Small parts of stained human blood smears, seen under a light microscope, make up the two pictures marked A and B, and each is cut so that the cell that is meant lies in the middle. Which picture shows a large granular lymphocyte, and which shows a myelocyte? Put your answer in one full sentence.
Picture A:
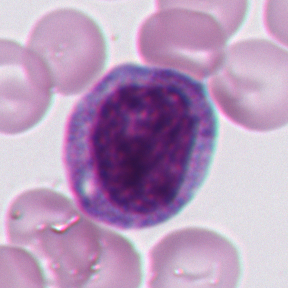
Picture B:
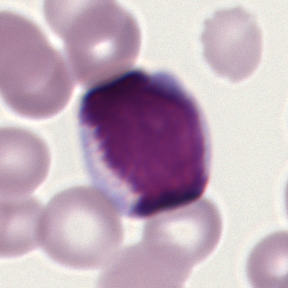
In picture A the cell is a myelocyte; in picture B, a large granular lymphocyte.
